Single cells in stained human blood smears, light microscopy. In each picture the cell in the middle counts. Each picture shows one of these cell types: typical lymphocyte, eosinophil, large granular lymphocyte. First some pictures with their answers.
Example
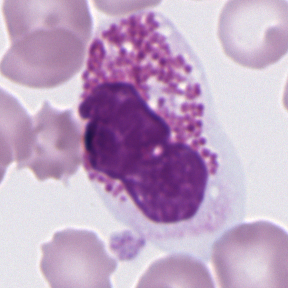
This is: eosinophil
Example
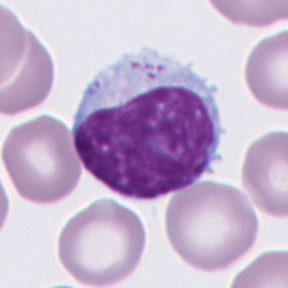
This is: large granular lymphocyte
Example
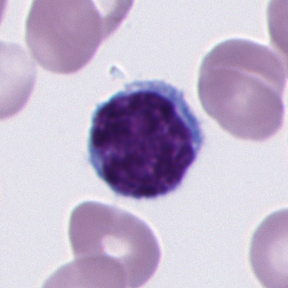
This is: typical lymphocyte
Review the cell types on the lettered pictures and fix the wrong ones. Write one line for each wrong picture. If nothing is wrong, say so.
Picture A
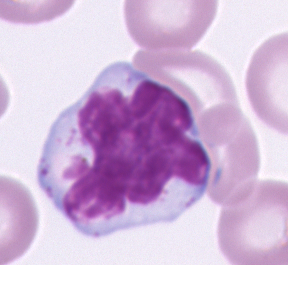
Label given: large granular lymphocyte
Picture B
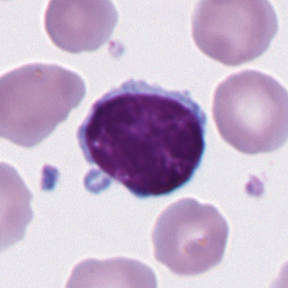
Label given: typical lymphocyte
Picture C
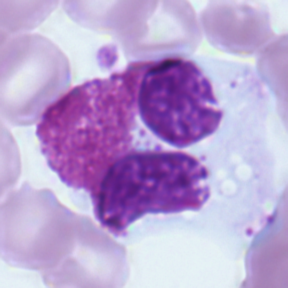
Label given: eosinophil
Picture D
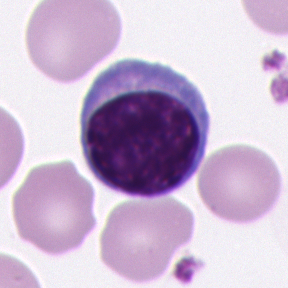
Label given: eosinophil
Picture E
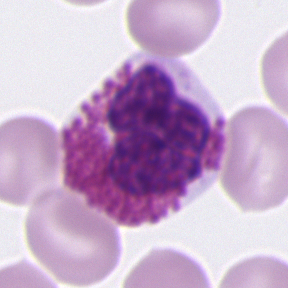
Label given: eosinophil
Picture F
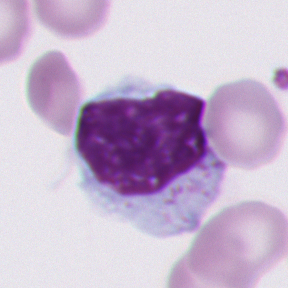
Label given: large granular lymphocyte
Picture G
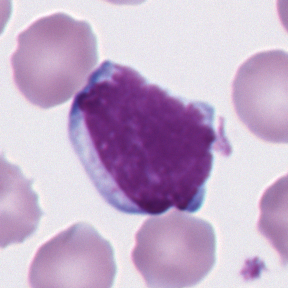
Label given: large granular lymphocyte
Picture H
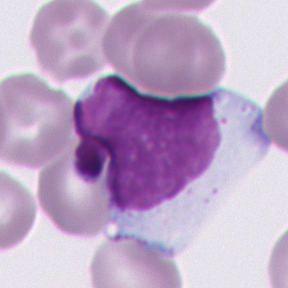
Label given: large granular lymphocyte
D: change eosinophil to typical lymphocyte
